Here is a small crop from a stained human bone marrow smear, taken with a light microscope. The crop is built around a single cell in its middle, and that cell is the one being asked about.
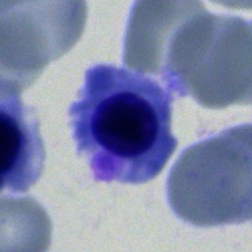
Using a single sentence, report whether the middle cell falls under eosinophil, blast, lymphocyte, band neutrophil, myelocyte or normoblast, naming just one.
By classification, the middle cell of this crop is a normoblast.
